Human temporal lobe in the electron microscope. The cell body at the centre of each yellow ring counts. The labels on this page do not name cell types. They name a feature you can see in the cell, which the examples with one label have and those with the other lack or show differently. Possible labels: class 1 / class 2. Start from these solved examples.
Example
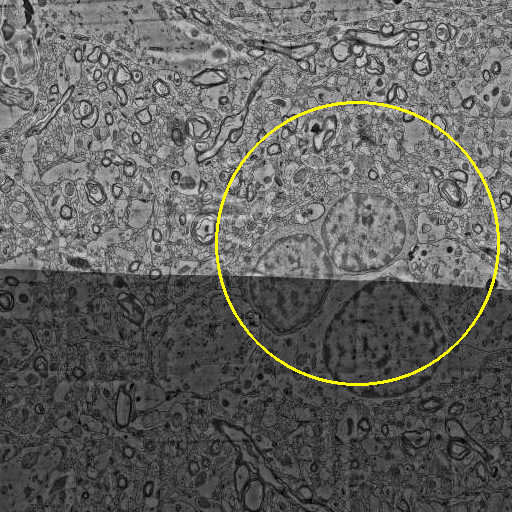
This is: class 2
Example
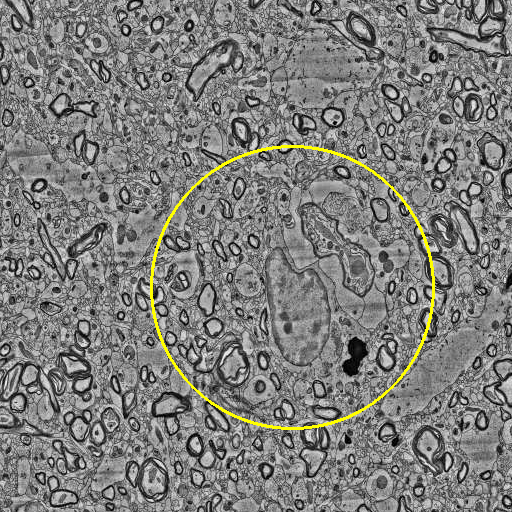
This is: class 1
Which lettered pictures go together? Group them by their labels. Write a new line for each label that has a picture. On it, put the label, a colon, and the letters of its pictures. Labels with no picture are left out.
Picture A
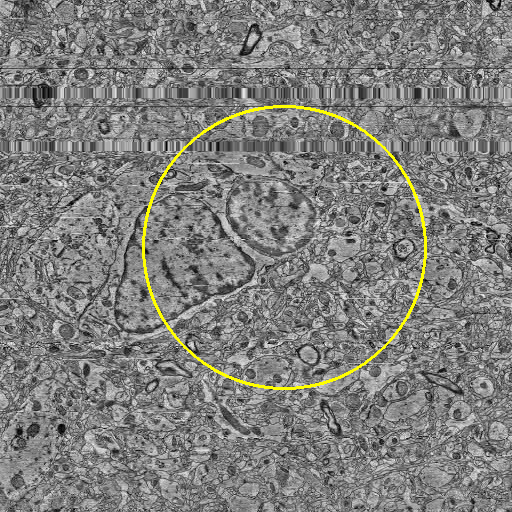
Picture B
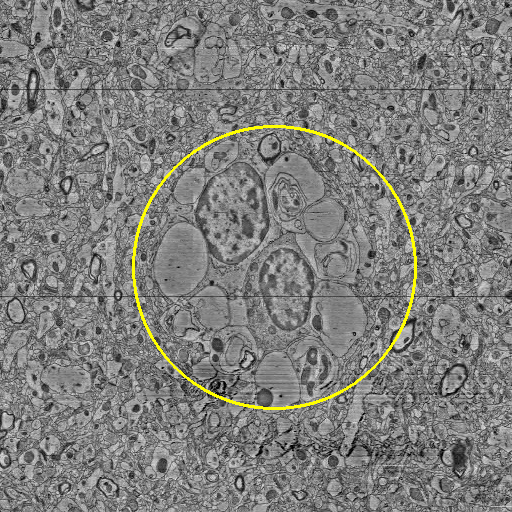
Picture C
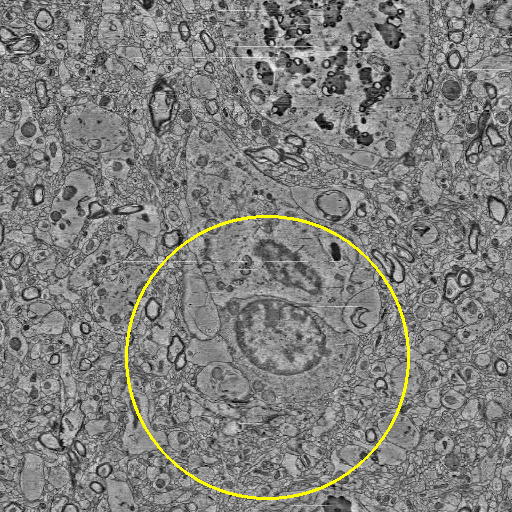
class 1: B
class 2: A, C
